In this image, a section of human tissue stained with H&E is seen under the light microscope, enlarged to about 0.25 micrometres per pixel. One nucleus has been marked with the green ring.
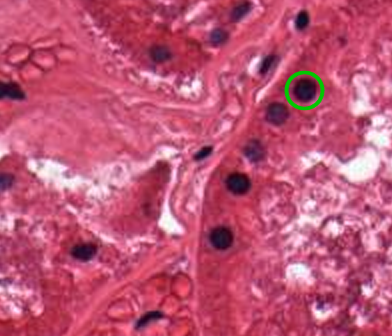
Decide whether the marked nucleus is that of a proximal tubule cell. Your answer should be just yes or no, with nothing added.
yes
